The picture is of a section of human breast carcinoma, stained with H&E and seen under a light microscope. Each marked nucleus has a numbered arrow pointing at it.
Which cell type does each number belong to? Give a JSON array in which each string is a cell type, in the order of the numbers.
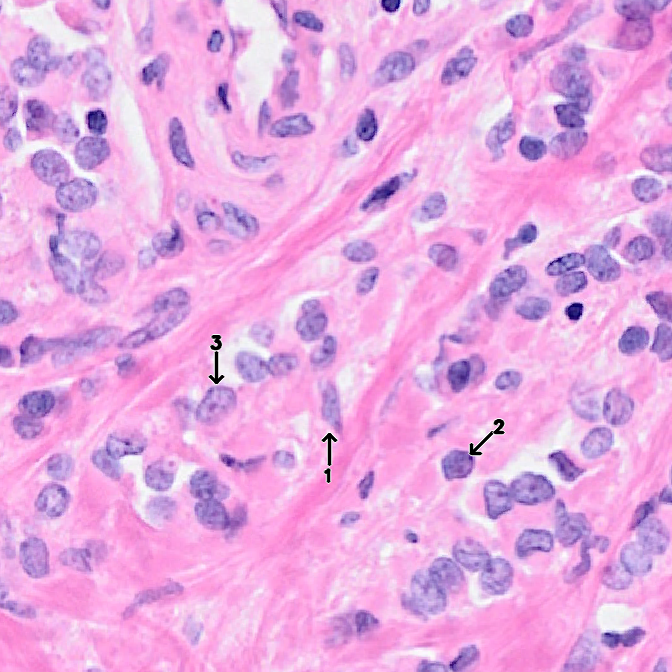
["fibroblast", "carcinoma cell", "carcinoma cell"]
